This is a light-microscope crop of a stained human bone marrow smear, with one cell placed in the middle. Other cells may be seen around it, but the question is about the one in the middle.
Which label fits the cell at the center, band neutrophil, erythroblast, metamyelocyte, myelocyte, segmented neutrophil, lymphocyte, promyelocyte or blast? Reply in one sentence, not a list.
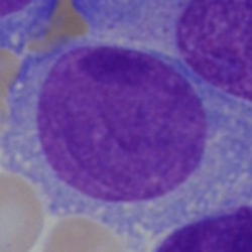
Standing at the centre of this crop is a blast.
